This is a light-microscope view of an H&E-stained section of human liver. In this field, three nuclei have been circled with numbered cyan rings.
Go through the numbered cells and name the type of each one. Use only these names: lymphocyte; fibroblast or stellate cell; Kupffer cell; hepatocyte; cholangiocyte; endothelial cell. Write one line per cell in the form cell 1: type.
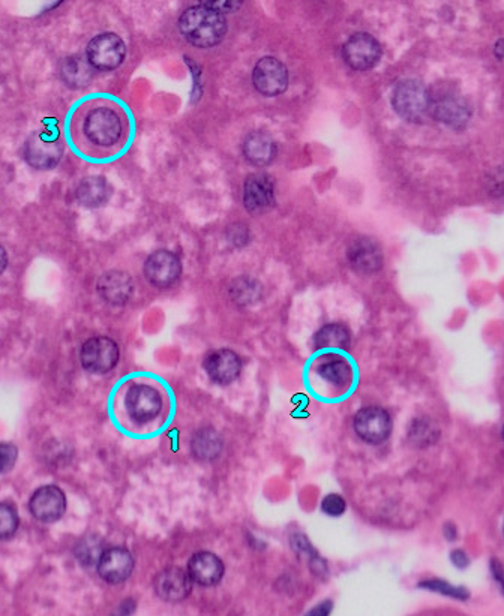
cell 1: hepatocyte
cell 2: fibroblast or stellate cell
cell 3: hepatocyte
